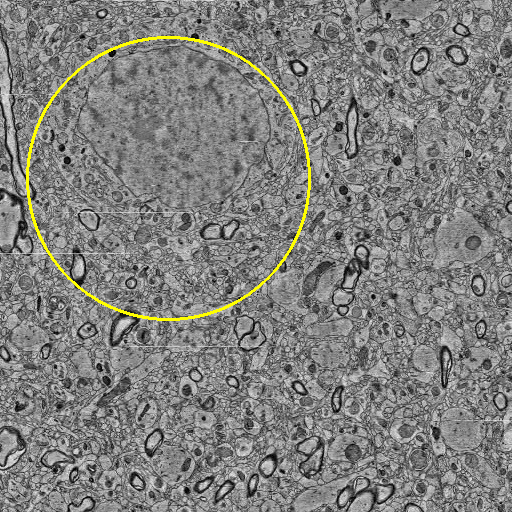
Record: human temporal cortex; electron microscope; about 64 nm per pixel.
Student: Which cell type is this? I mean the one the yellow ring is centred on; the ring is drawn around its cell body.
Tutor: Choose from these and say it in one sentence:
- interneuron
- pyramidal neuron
The cell the ring is centred on is an interneuron.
